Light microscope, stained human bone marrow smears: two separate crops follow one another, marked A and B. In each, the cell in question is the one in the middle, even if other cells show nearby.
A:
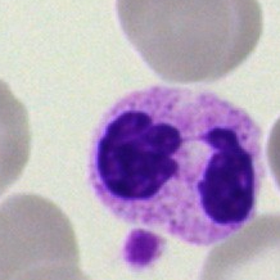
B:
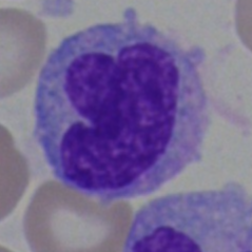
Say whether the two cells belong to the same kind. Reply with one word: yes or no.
no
